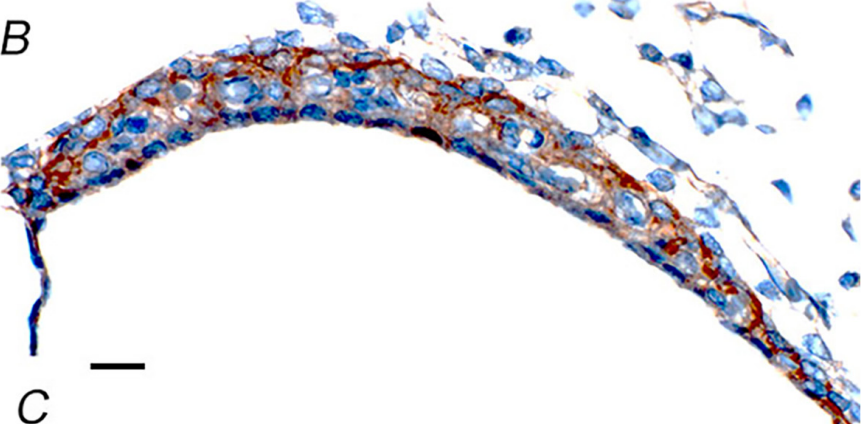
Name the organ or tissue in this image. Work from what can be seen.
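A curved, multilayered band of epithelial cells lines a fluid space. Small vessel-like lumina lie within the band. Loose mesenchymal cells lie on its outer side.
Stria vascularis.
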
